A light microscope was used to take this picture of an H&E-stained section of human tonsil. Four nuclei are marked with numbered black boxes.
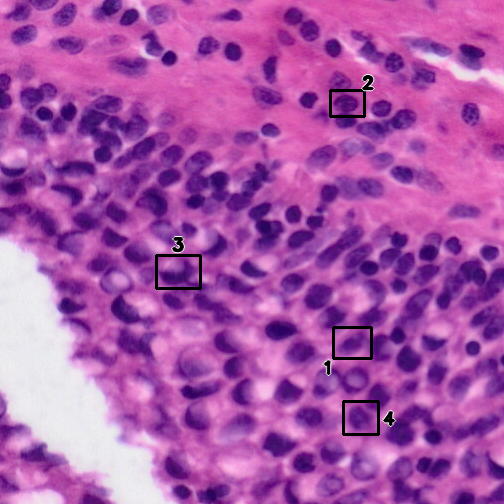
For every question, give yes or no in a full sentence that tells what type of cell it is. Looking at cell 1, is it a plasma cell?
No, the nucleus numbered 1 belongs to a squamous epithelial cell, not a plasma cell.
